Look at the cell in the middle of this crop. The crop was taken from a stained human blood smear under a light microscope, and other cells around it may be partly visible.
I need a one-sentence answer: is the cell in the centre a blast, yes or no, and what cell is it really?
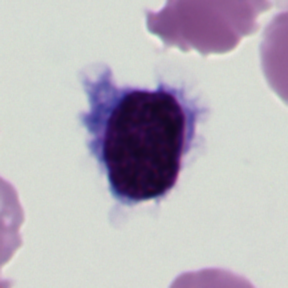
No, the central cell is not a blast; it is a hairy cell instead.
